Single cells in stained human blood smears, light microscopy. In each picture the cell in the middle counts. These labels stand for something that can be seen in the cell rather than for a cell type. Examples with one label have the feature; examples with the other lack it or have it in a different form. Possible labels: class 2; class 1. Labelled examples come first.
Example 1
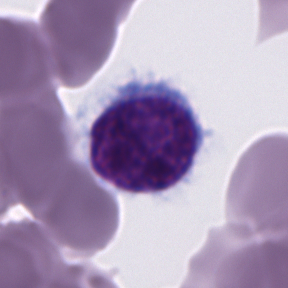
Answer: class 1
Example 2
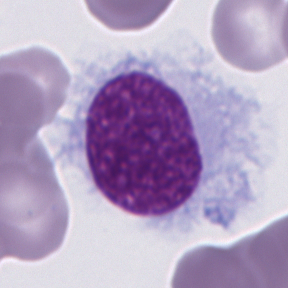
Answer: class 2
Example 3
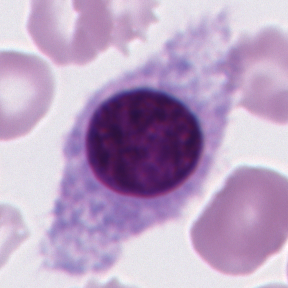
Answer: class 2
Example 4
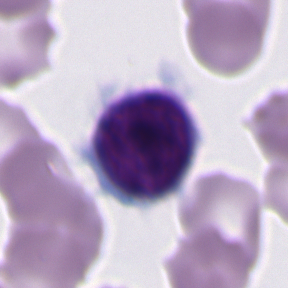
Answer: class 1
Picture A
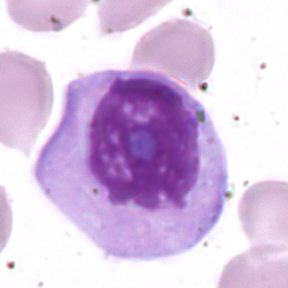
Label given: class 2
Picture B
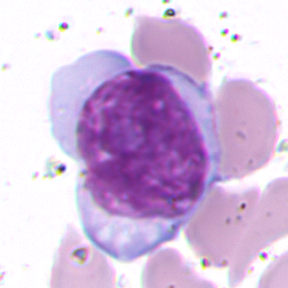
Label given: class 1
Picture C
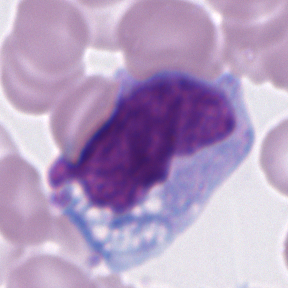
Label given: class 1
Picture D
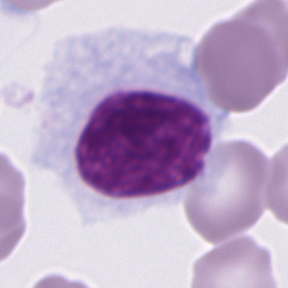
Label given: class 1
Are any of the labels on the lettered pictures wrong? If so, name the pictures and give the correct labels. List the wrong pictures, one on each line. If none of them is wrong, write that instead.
C: class 2, not class 1
D: class 2, not class 1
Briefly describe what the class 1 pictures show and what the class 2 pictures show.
Seen in class 1: scant cytoplasm; seen in class 2: abundant cytoplasm.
